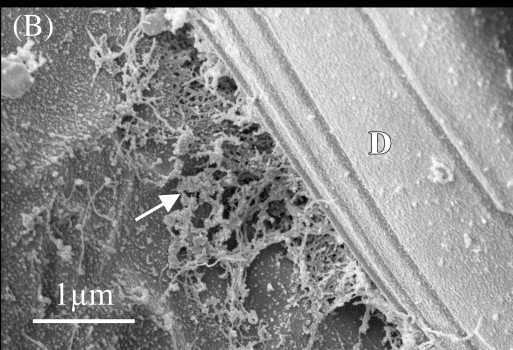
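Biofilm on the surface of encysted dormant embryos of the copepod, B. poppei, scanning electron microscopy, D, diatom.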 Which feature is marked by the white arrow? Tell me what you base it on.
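A loose, porous mesh of fine fibrous material lies where the arrow points. The mesh sits on the surface beside the edge of a large smooth ridged shell. The material is irregular and web-like, unlike the smooth shell beside it. The answer: Extracellular polymeric substance.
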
